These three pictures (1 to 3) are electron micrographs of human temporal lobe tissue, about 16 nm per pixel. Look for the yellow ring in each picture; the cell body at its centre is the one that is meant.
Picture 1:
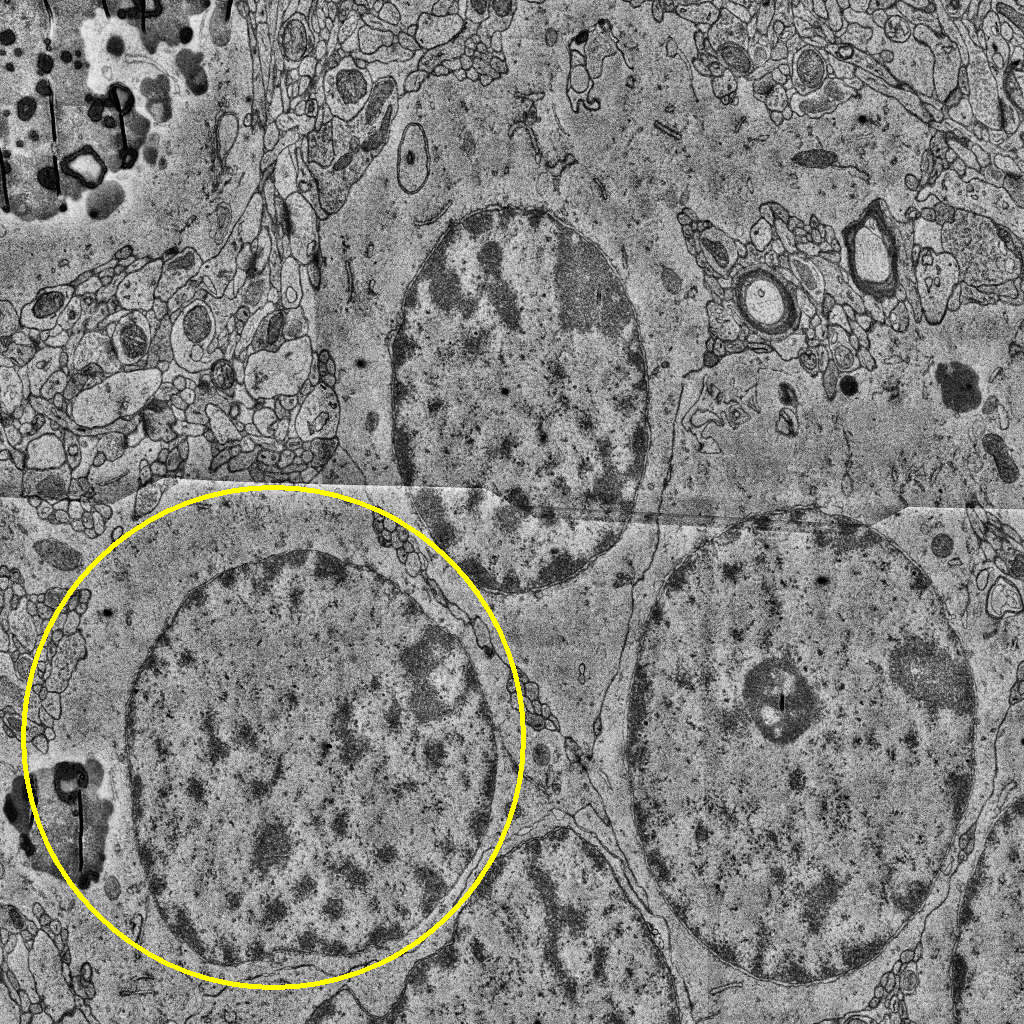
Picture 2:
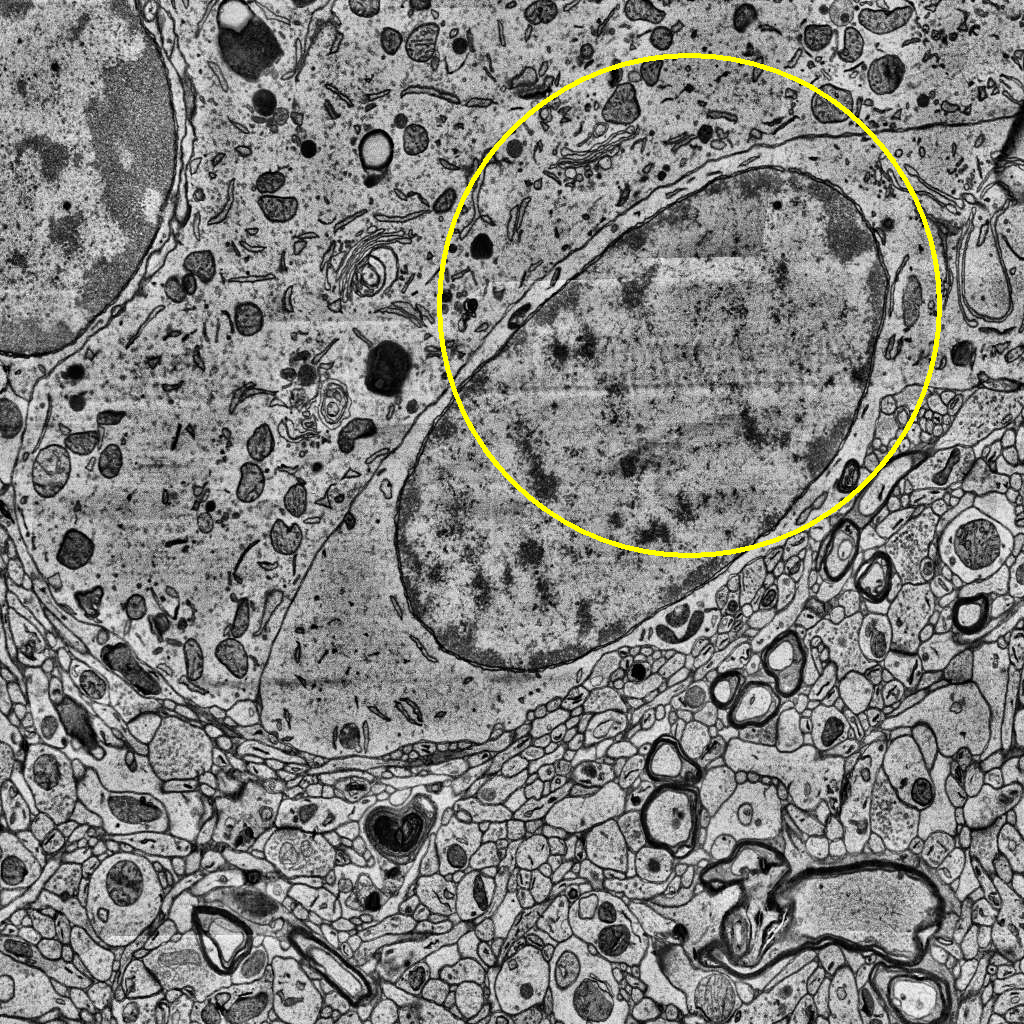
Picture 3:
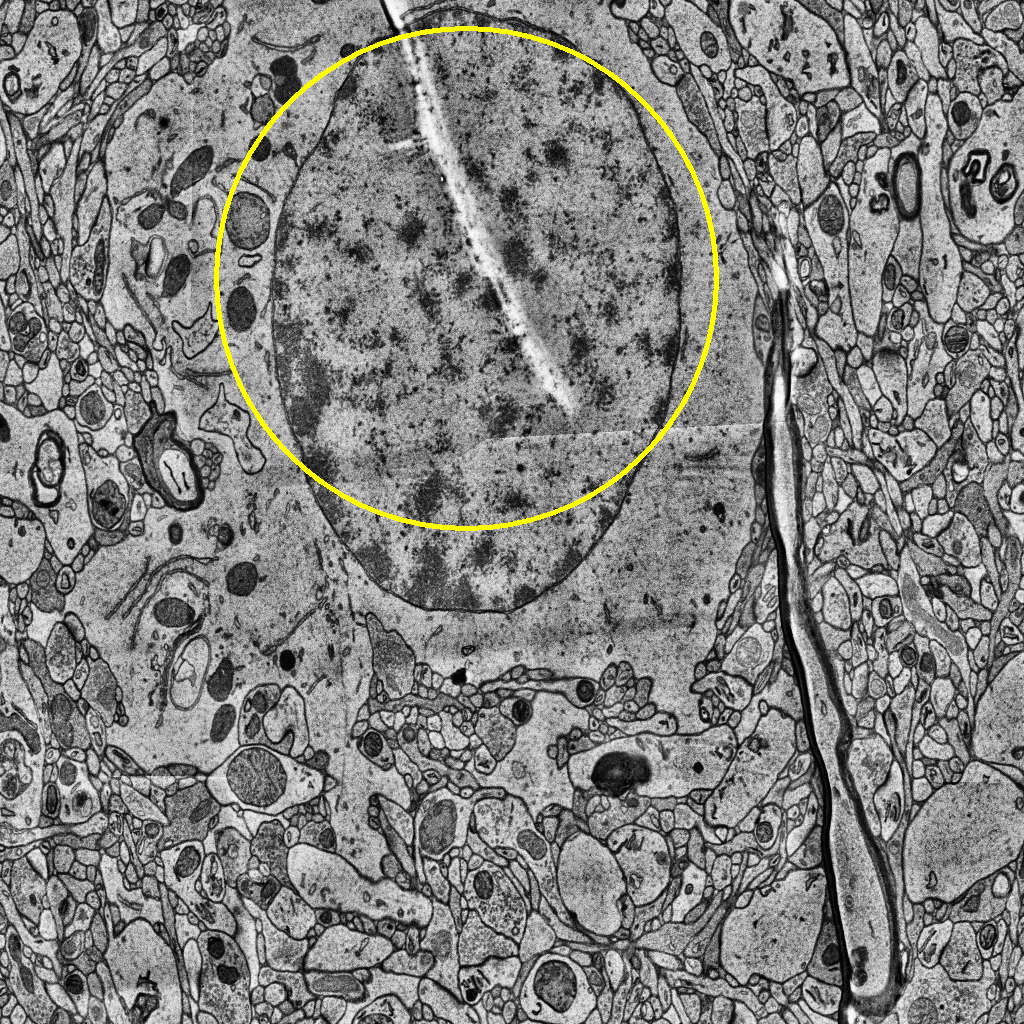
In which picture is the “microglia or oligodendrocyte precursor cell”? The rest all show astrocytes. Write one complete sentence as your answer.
Picture 2 is the one that shows the “microglia or oligodendrocyte precursor cell”.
